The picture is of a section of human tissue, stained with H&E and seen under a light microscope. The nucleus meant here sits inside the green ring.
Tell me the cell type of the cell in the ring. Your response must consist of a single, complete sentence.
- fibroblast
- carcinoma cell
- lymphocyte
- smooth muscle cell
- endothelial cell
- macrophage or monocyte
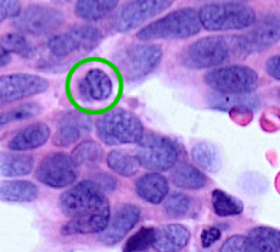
Histopathologically, the cell in the ring is a macrophage or monocyte.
